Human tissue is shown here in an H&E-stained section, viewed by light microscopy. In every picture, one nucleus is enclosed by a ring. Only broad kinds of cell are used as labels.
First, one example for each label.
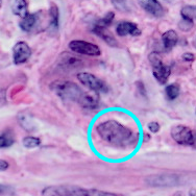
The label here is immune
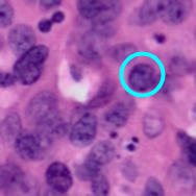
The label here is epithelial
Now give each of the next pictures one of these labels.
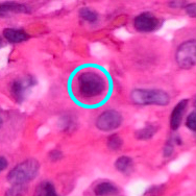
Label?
immune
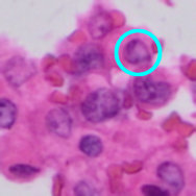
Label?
immune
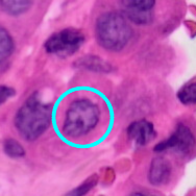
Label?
epithelial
